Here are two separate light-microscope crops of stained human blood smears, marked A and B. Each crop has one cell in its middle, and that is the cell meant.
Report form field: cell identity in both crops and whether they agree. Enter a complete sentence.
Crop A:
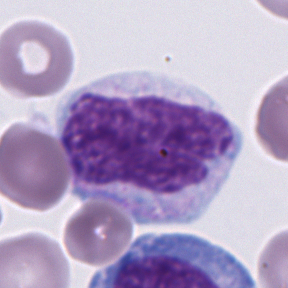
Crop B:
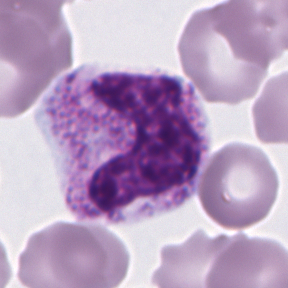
No, the cell centred in crop A is a myelocyte, and that centred in crop B is a metamyelocyte.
